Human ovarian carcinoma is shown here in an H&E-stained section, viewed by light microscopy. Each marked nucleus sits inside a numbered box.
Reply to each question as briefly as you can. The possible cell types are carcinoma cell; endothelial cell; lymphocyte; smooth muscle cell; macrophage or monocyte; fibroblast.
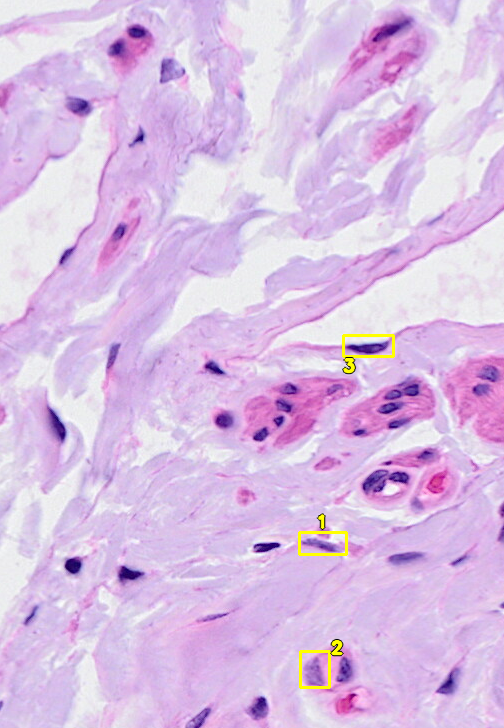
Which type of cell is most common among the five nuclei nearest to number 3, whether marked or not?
smooth muscle cell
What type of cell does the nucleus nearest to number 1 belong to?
fibroblast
